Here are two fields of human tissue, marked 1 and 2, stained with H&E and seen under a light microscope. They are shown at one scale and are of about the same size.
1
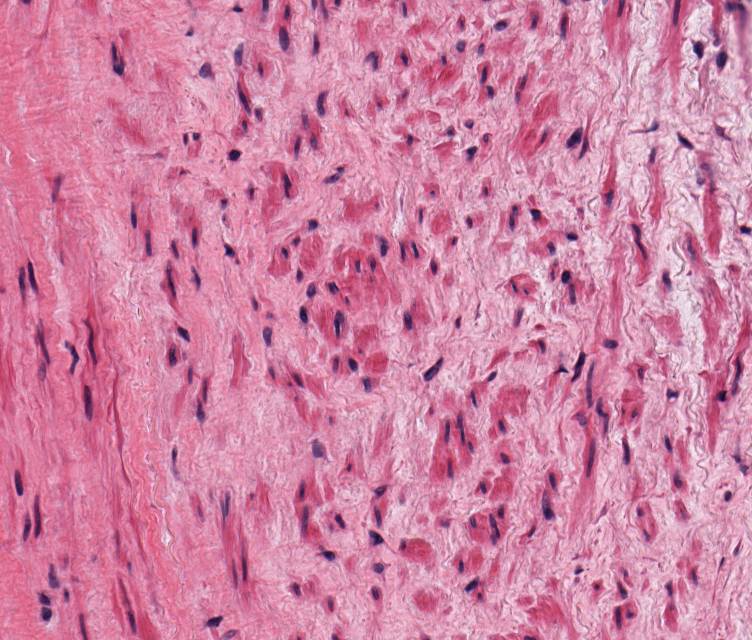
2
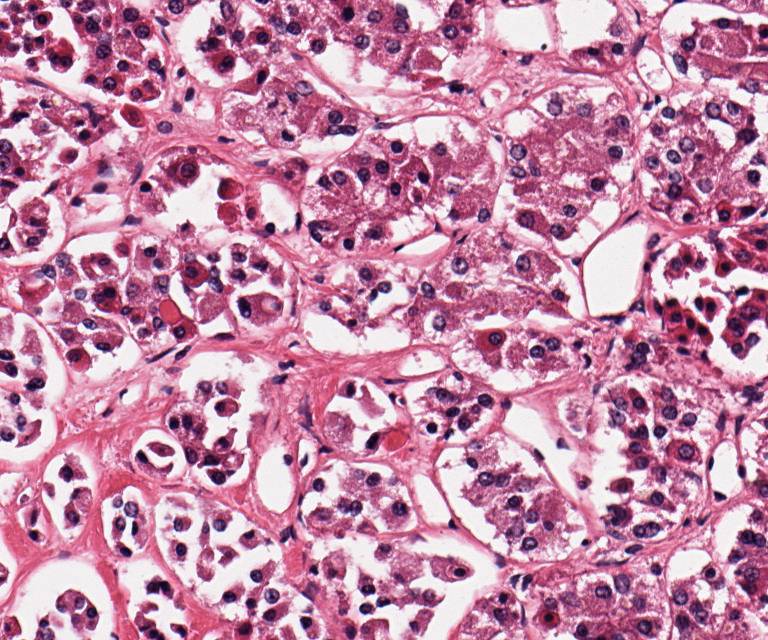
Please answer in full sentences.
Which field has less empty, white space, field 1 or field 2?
Unstained space takes up less of field 1 than of field 2.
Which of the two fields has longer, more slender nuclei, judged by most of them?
It is field 1 whose nuclei are the more elongated.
